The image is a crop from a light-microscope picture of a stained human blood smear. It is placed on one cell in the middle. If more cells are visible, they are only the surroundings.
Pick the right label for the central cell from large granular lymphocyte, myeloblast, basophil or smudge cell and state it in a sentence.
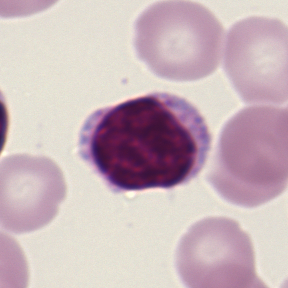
The target cell in the middle of the crop is a large granular lymphocyte.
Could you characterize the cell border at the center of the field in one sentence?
Worth noting that the cell border is smooth and lacks projections.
